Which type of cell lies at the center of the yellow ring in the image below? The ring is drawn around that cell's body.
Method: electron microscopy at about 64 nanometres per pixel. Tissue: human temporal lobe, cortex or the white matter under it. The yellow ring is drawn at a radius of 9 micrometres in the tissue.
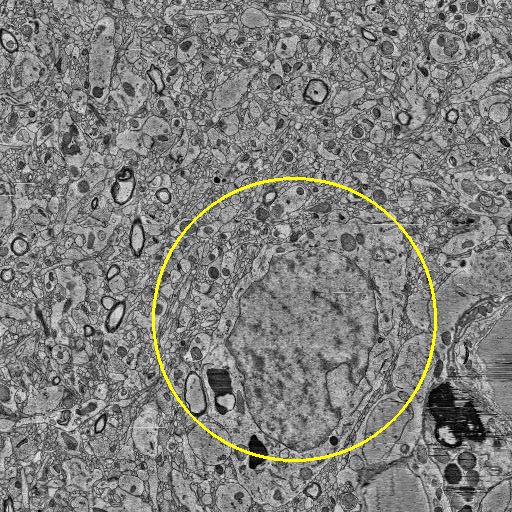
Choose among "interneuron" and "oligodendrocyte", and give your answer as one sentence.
The cell body at the center belongs to an interneuron.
